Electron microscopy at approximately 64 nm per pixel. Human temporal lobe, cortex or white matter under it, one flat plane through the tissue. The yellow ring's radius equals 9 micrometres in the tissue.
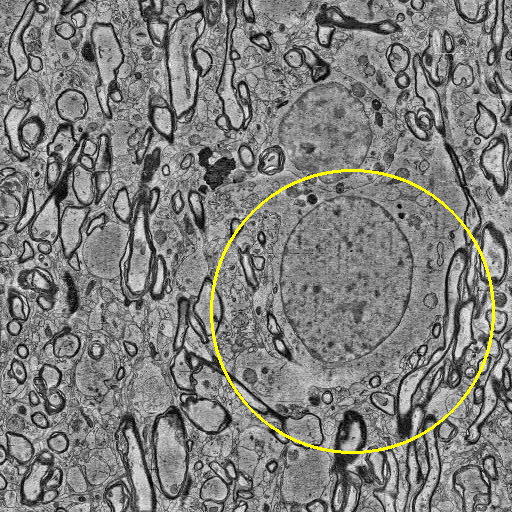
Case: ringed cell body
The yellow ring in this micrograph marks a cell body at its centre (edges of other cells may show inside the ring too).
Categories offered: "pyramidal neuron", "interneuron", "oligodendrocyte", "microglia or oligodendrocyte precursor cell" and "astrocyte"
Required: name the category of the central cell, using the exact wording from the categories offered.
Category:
astrocyte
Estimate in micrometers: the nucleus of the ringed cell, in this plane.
In this plane, the nucleus of the cell at the centre of the ring measures about 11 by 8 micrometres.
